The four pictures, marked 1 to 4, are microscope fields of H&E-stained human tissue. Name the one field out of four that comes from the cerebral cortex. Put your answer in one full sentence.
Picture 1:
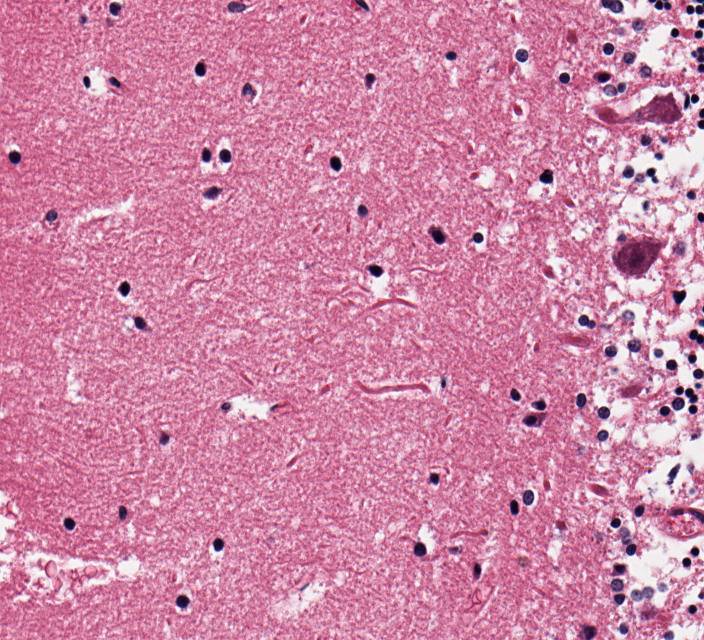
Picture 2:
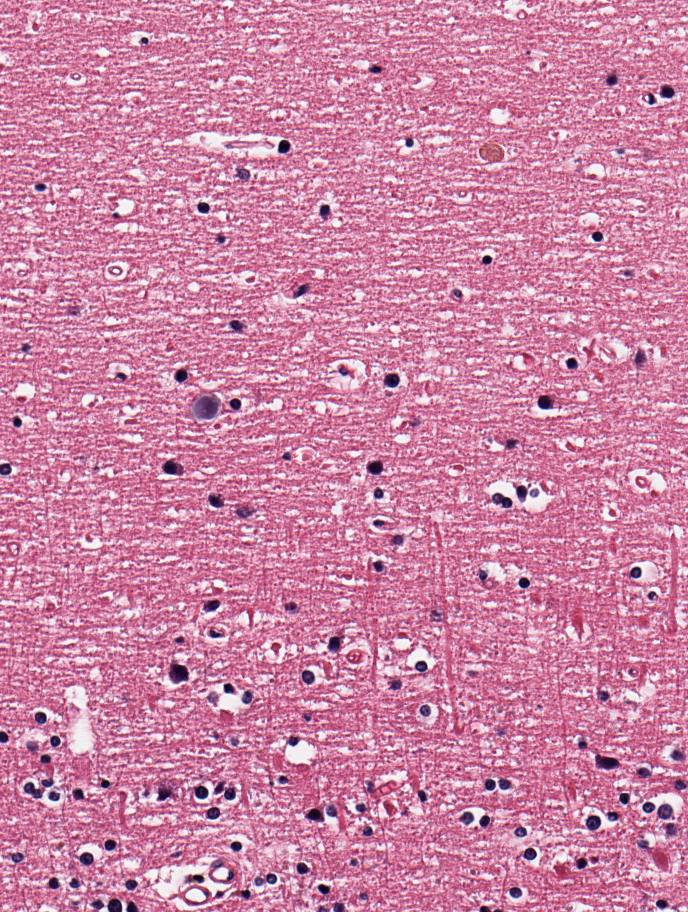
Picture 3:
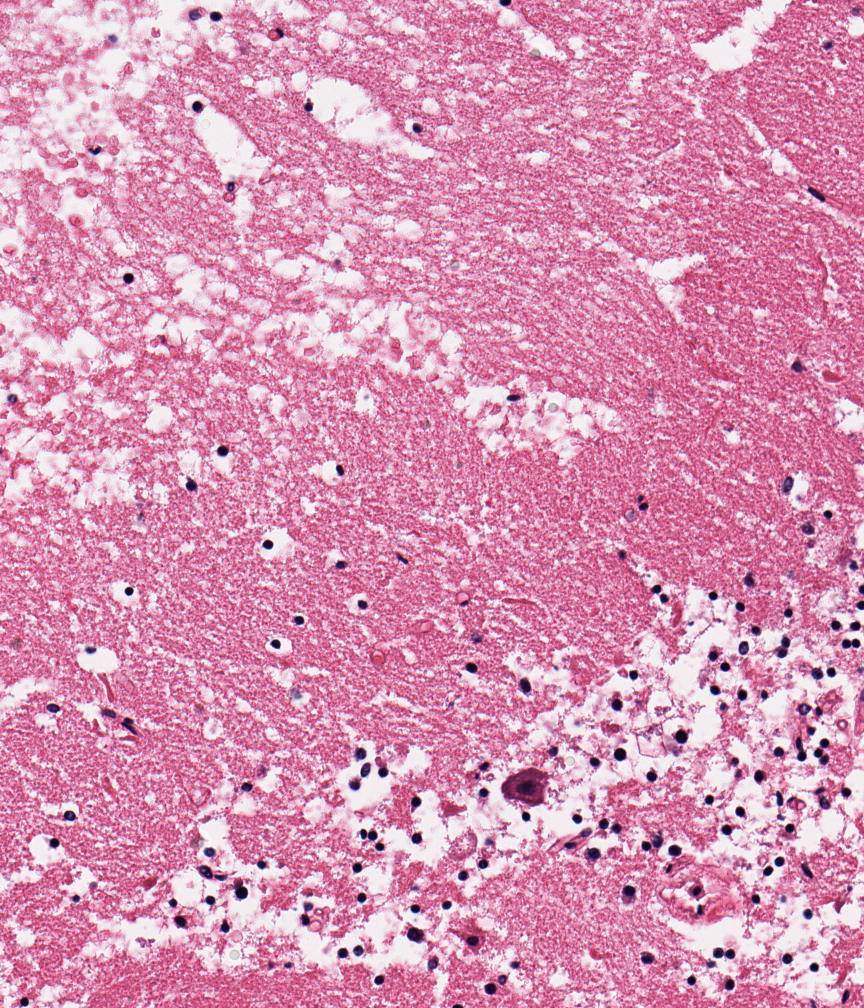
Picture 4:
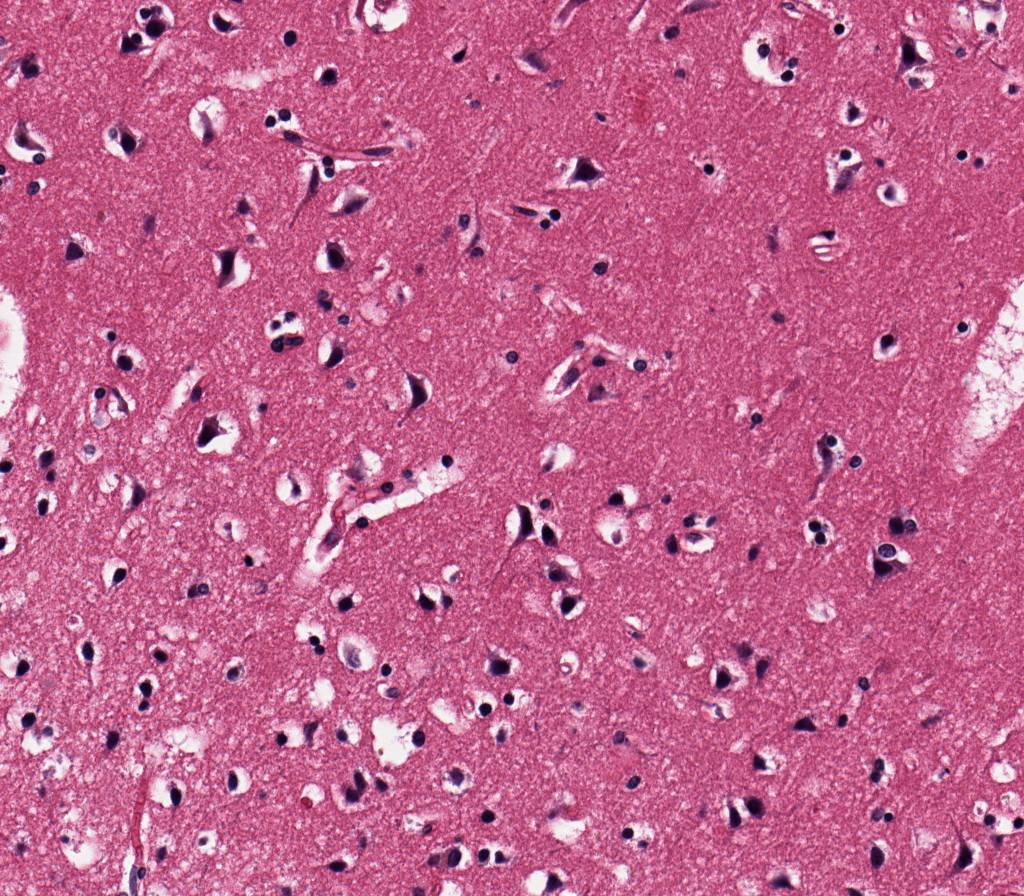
The one that comes from the cerebral cortex is picture 4.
